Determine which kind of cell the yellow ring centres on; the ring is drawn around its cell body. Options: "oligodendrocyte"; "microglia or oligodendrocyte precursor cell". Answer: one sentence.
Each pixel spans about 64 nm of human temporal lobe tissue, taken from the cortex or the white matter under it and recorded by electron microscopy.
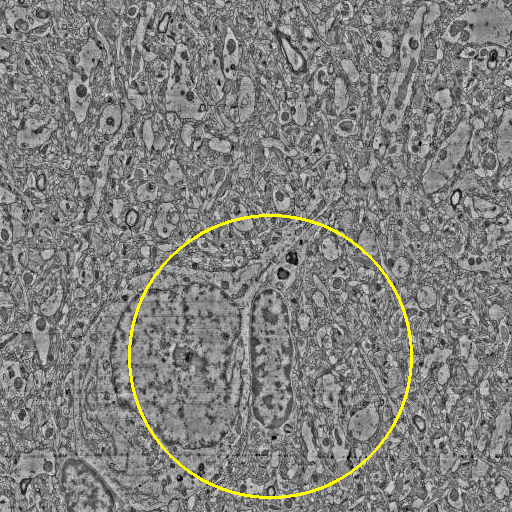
The ring centres on a microglial cell or oligodendrocyte precursor cell.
